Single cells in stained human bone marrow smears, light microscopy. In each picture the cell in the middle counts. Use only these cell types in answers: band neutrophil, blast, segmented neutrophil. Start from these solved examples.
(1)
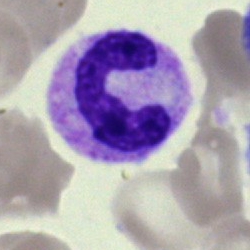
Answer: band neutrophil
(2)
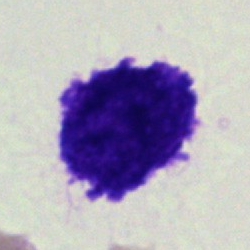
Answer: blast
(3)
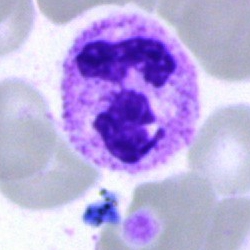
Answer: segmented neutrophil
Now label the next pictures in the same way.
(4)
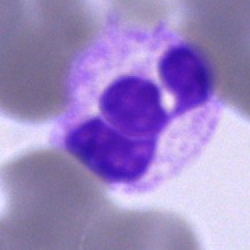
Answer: segmented neutrophil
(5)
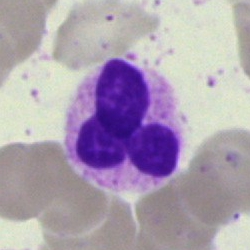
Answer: segmented neutrophil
